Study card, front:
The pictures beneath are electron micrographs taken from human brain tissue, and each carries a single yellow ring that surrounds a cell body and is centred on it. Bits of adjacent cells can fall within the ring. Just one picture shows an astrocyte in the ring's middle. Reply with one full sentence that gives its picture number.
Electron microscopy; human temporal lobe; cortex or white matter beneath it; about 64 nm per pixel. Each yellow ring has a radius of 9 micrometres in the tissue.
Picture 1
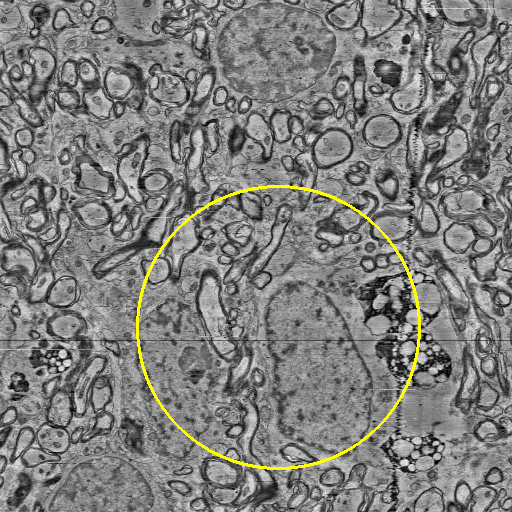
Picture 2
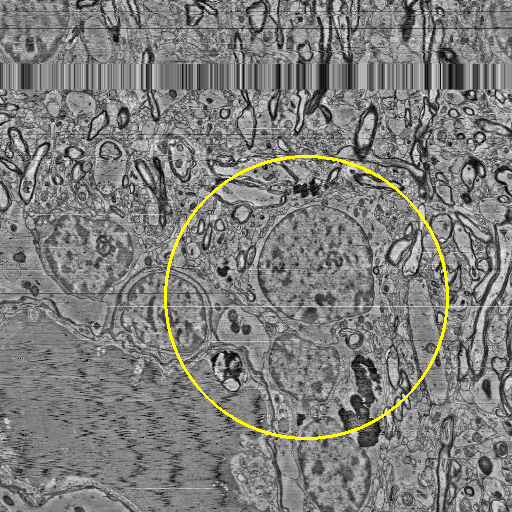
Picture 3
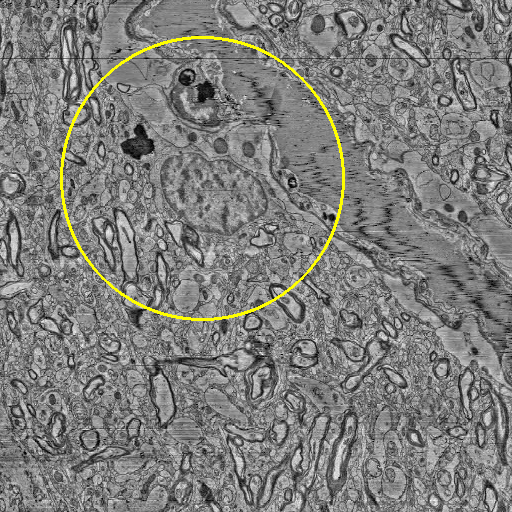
Picture 1 is the one whose ring has the requested cell at its centre.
